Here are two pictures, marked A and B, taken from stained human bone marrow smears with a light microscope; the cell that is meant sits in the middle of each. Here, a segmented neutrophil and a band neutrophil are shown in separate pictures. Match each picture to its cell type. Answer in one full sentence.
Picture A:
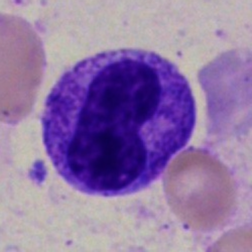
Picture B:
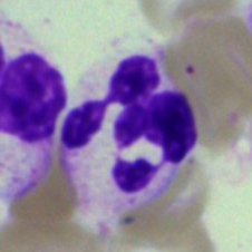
It is picture A that shows a band neutrophil, and picture B that shows a segmented neutrophil.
